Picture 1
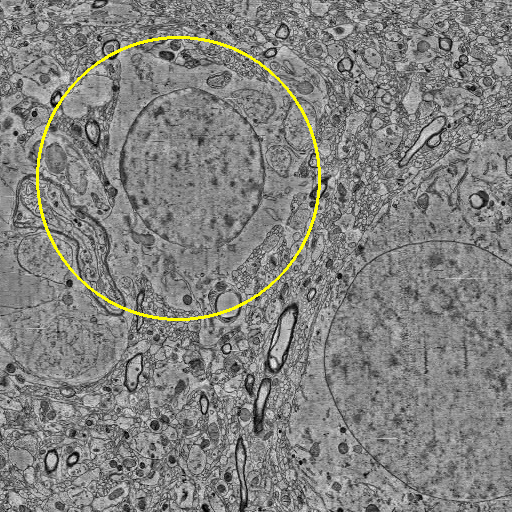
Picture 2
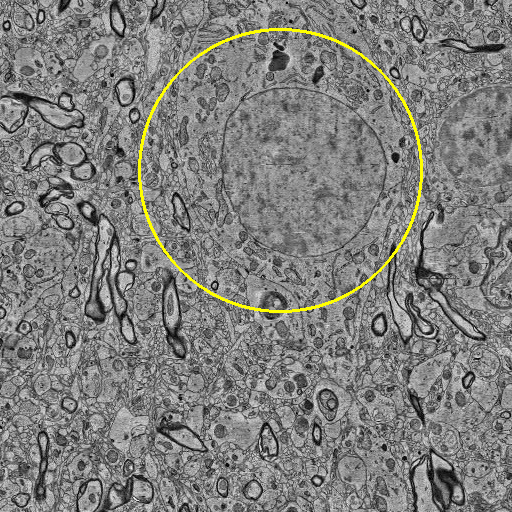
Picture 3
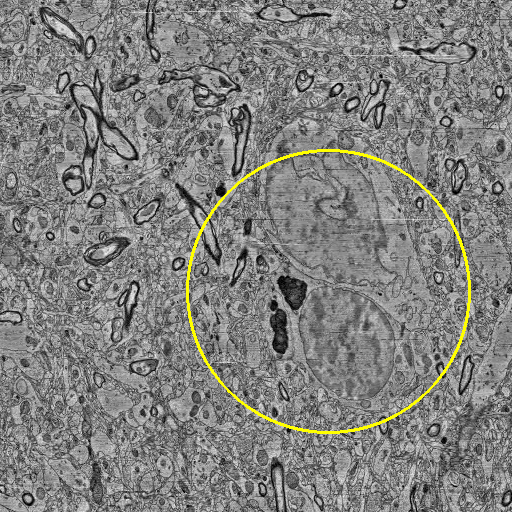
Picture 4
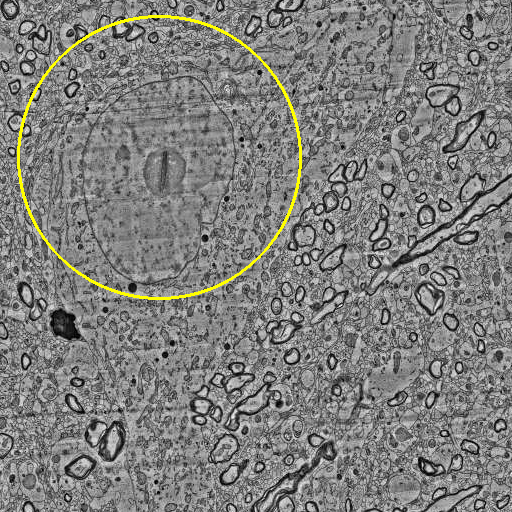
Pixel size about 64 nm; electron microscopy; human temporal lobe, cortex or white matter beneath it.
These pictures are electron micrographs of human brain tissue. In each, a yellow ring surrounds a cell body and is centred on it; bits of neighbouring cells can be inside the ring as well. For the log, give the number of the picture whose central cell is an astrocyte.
1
